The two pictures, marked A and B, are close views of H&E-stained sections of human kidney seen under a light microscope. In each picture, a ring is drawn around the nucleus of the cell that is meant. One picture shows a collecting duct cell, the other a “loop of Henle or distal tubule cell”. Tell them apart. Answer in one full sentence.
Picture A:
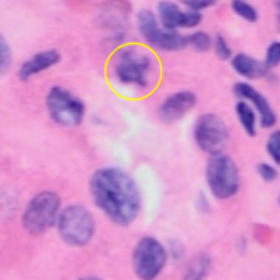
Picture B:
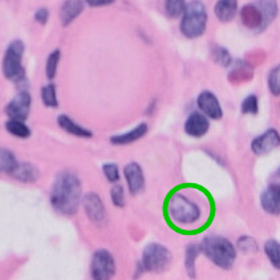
Picture A shows a “loop of Henle or distal tubule cell” and picture B shows a collecting duct cell.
